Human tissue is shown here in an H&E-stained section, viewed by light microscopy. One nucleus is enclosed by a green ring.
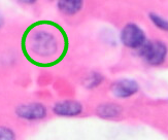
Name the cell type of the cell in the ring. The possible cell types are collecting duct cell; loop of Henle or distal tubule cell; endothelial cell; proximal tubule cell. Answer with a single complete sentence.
Cell type answer for this item: the cell in the ring is a loop of Henle or distal tubule cell.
